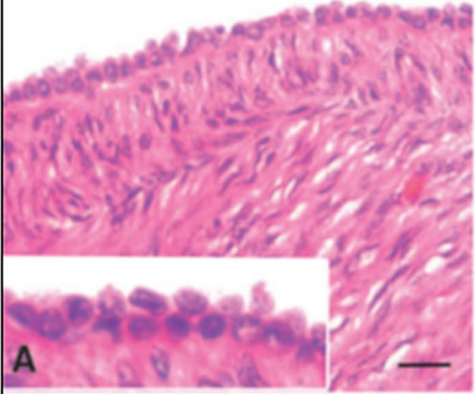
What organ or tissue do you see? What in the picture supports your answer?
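Ovarian cortex. A single surface layer of cuboidal cells covers the section. Beneath it lies dense stroma of spindle-shaped cells with elongated nuclei in streaming, whorled bundles.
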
